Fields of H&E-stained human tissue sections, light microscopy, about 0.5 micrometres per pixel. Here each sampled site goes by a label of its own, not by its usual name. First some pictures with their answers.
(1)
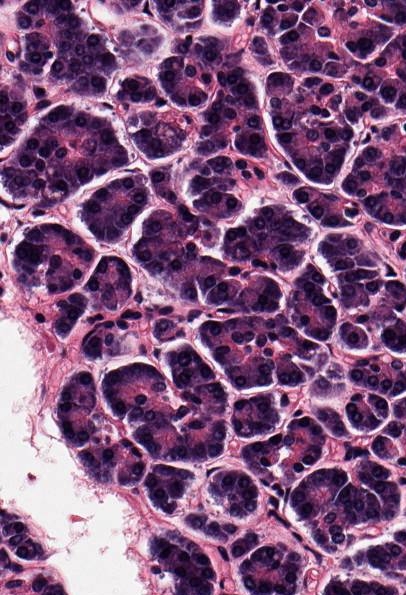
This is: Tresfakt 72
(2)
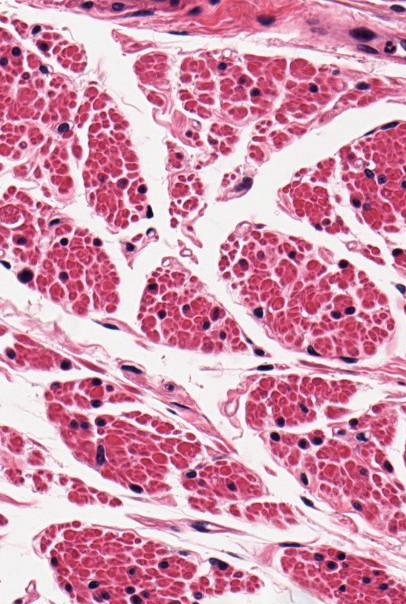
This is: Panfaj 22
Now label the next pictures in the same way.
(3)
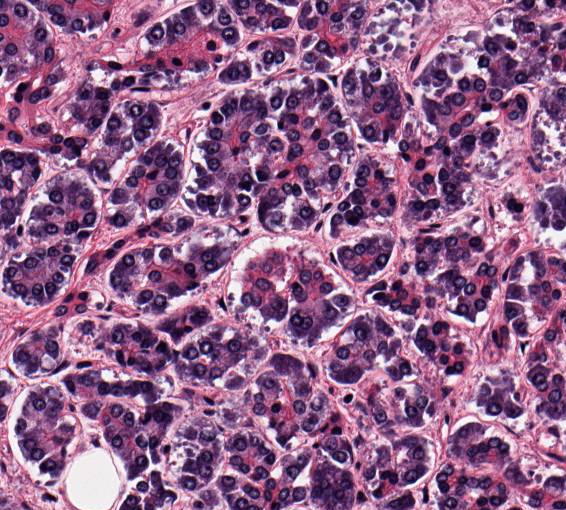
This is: Tresfakt 72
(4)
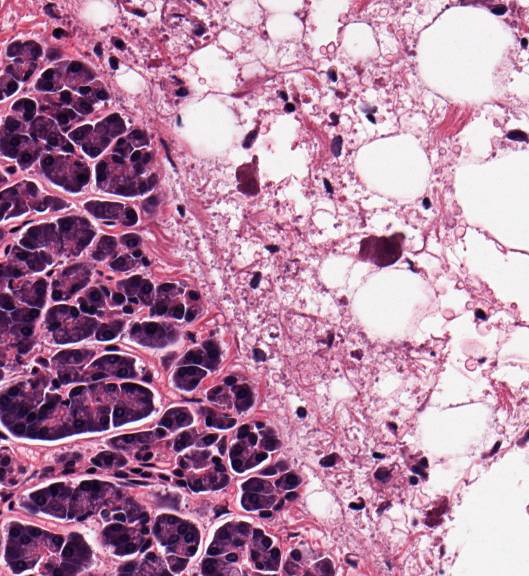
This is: Tresfakt 72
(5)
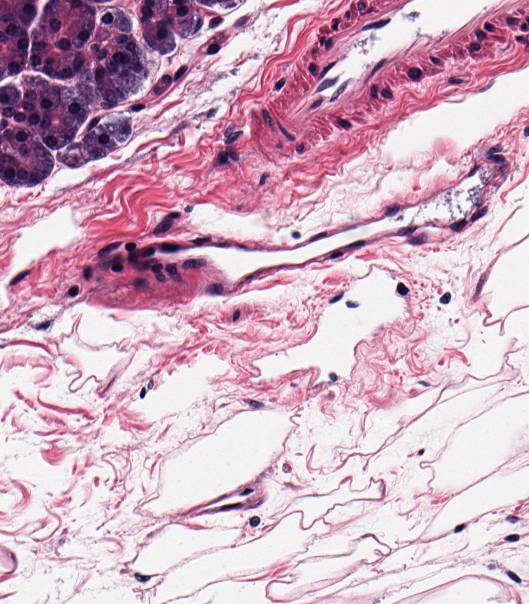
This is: Tresfakt 72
